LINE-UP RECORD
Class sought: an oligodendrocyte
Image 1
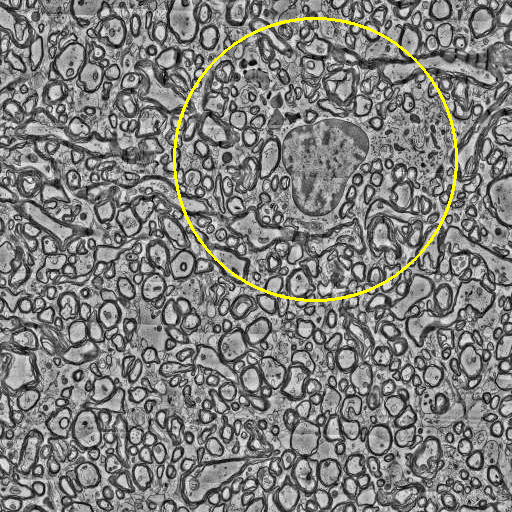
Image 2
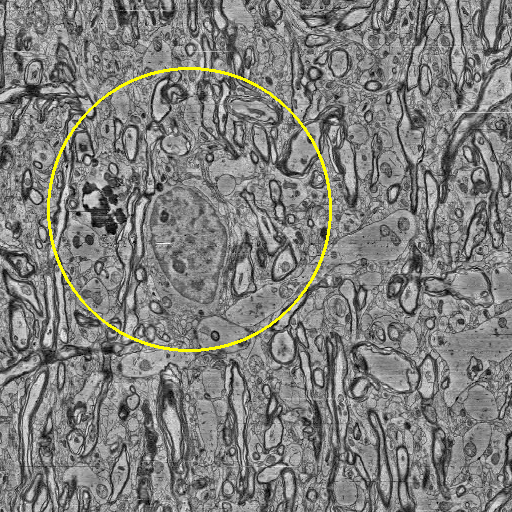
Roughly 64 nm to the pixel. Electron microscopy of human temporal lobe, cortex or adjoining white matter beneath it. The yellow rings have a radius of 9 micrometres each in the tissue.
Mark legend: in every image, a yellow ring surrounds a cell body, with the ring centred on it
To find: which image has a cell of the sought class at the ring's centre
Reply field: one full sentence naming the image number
The ring-centred cell of image 2 belongs to the class sought.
